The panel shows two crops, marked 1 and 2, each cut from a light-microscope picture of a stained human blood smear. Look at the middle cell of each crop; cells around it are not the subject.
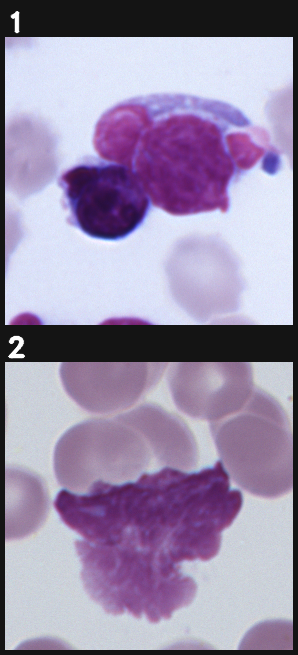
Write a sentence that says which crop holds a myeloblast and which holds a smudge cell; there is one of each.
The cell that crop 1 centres on is a myeloblast, and the cell that crop 2 centres on is a smudge cell.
